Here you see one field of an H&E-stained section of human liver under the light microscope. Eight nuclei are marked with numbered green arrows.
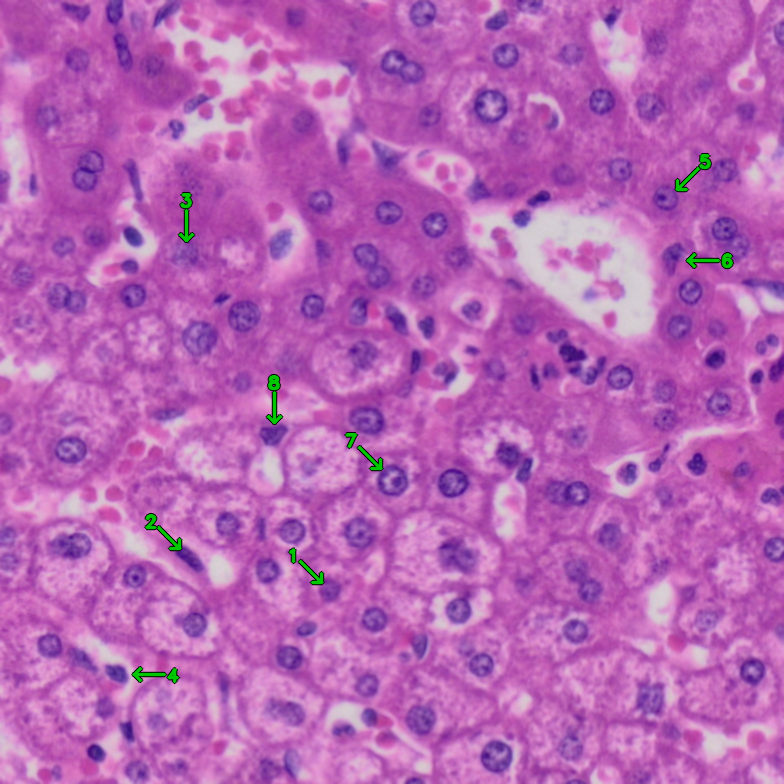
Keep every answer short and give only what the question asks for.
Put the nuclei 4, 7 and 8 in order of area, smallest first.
4, 8, 7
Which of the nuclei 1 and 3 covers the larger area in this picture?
3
